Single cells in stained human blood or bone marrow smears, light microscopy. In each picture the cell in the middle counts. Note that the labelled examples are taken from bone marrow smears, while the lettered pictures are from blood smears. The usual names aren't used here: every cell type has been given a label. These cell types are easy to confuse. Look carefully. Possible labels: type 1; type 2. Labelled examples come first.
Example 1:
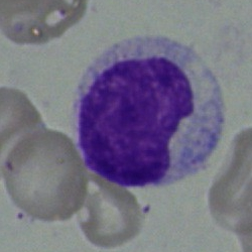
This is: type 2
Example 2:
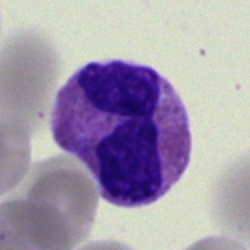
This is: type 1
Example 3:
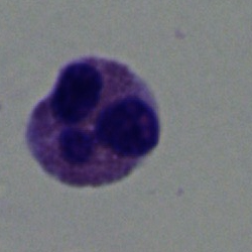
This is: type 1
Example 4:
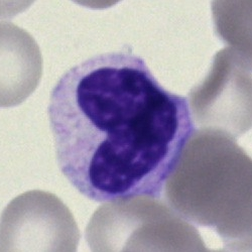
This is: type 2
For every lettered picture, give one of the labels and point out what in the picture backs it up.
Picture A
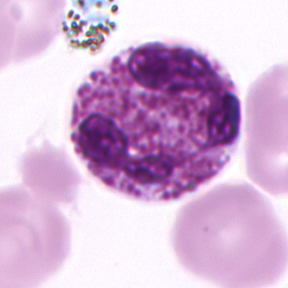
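type 1. The nucleus is divided into several separate lobes.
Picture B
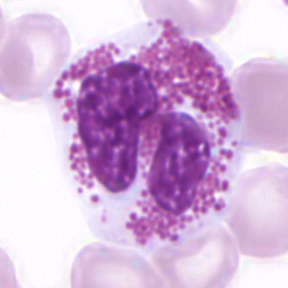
type 1. The nucleus has two lobes.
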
